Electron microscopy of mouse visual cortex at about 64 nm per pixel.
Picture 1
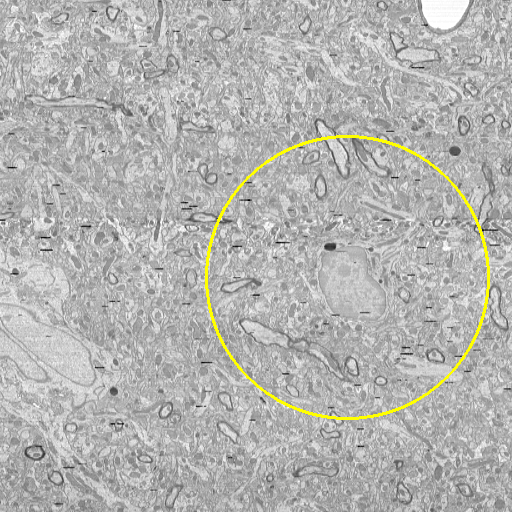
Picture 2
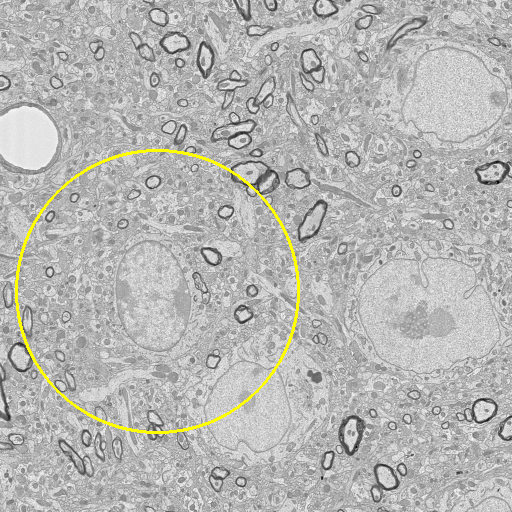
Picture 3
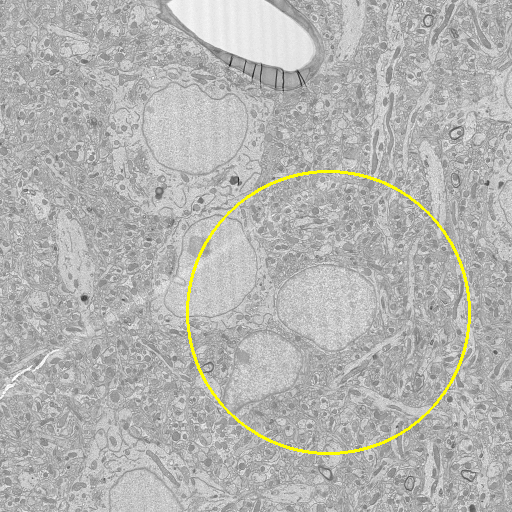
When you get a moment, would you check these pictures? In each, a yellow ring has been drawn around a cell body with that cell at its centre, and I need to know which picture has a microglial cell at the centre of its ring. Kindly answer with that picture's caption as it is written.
Picture 1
